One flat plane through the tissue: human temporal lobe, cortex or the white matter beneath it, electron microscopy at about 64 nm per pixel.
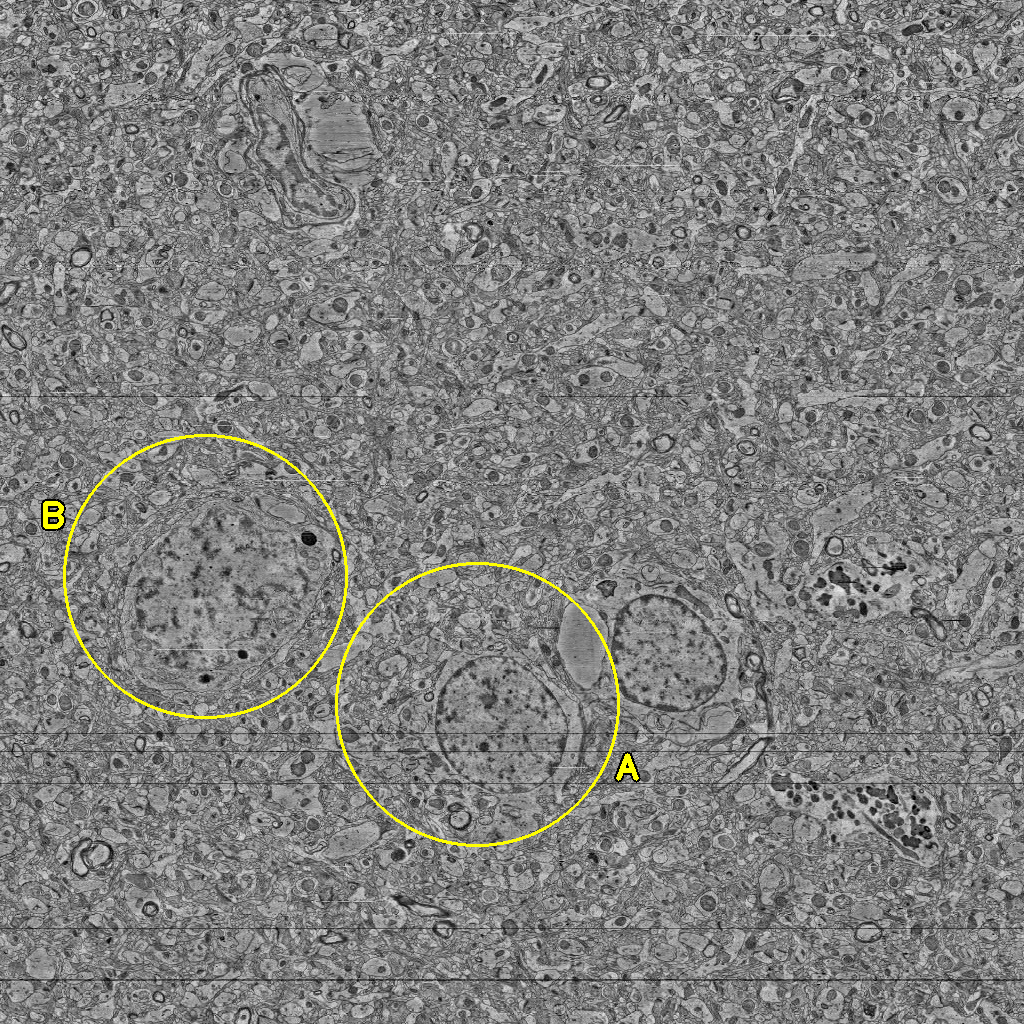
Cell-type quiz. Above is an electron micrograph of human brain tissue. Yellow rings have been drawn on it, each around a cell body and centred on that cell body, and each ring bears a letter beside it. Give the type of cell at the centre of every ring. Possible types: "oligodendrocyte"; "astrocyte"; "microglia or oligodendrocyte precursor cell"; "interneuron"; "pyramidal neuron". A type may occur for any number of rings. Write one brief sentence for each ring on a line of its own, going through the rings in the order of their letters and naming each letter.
Ring A is centred on the cell body of an astrocyte.
Ring B is centred on the cell body of an interneuron.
